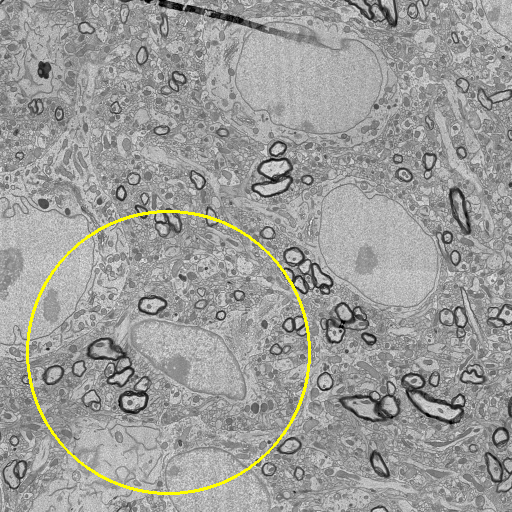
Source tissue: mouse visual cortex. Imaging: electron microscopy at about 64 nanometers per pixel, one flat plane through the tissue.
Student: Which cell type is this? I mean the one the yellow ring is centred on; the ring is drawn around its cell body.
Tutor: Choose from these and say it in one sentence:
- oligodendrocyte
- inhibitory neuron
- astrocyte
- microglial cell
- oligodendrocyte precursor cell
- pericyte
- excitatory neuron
The cell the ring is centred on is an oligodendrocyte precursor cell.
